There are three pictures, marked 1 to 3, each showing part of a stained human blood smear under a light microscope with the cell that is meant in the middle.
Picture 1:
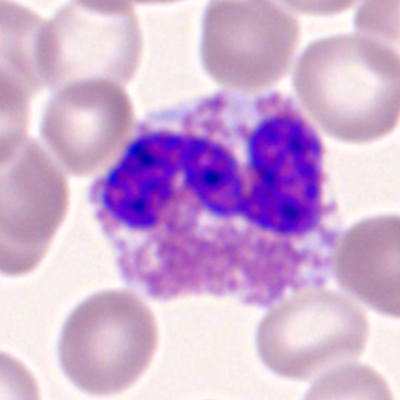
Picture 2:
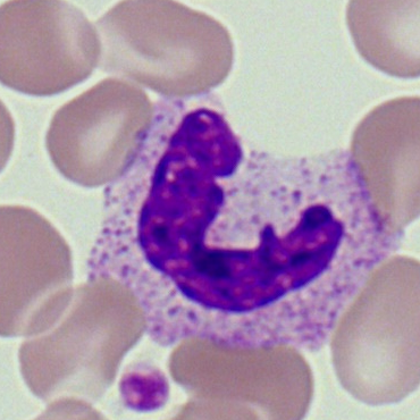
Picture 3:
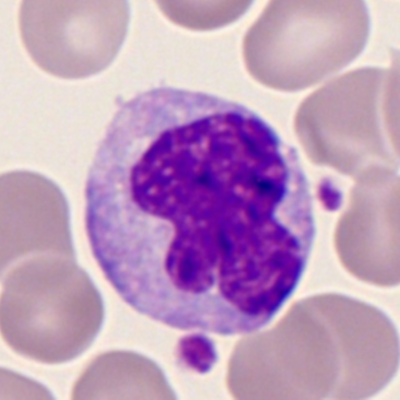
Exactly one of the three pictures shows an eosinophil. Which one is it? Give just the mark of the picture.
1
